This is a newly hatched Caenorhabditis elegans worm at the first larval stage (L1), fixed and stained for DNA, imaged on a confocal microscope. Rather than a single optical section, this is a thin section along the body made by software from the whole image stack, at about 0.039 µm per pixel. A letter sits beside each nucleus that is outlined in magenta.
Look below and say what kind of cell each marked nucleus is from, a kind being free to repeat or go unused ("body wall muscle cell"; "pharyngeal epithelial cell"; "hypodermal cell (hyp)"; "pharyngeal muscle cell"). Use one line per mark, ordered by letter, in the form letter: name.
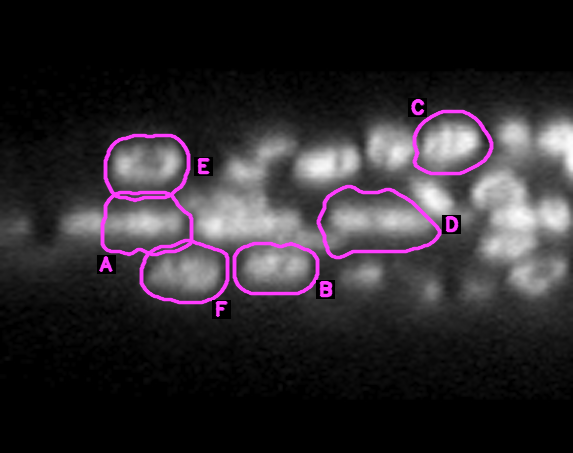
A: pharyngeal muscle cell
B: body wall muscle cell
C: hypodermal cell (hyp)
D: pharyngeal epithelial cell
E: body wall muscle cell
F: body wall muscle cell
